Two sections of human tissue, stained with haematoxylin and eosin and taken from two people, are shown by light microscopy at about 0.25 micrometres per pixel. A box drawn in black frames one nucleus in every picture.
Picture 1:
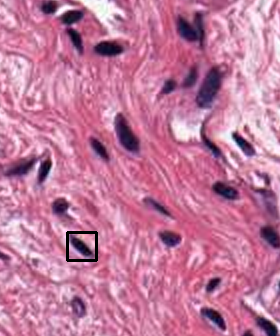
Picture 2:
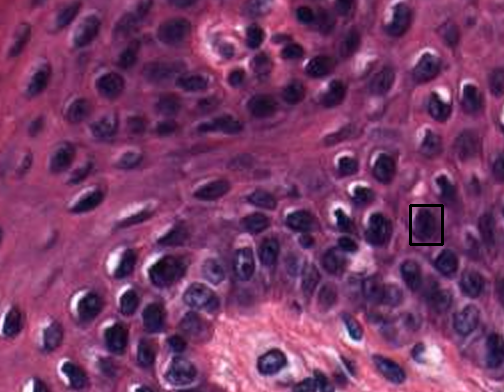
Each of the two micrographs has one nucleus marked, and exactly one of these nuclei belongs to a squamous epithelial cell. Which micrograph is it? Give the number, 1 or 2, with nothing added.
2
